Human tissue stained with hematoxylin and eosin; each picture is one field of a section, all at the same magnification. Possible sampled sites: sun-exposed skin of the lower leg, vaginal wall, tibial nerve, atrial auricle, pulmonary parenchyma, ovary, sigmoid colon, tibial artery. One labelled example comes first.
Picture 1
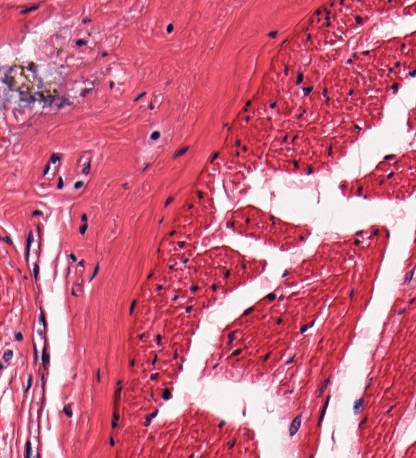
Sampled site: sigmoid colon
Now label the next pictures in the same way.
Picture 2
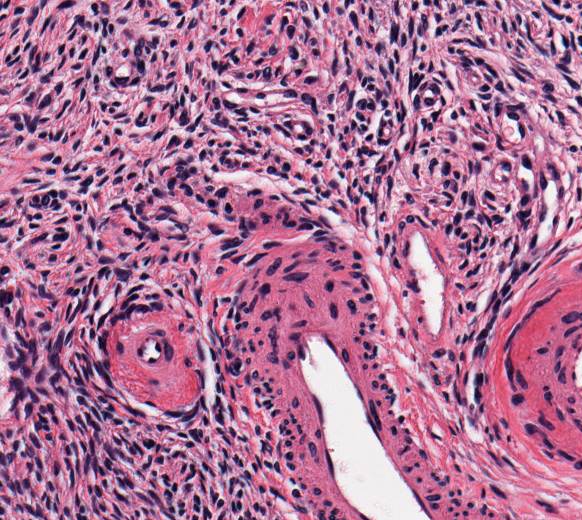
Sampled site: ovary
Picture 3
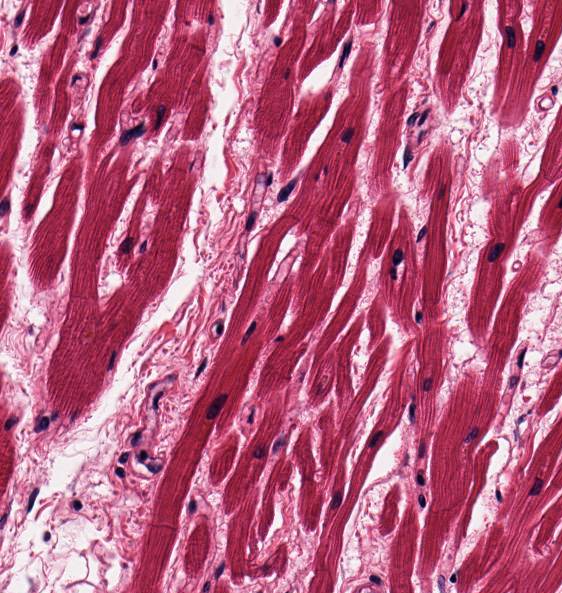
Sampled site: atrial auricle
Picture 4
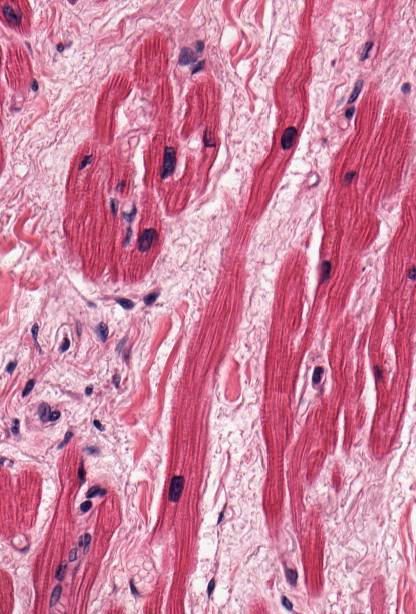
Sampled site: atrial auricle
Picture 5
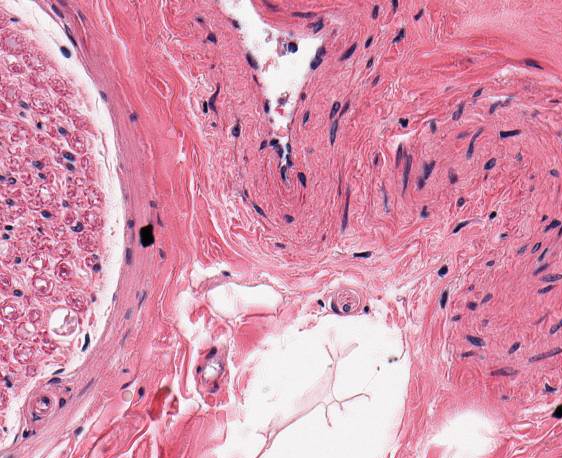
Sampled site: tibial nerve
